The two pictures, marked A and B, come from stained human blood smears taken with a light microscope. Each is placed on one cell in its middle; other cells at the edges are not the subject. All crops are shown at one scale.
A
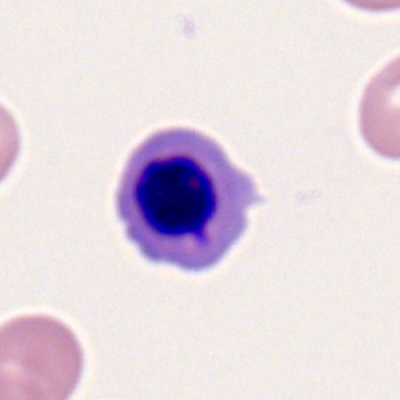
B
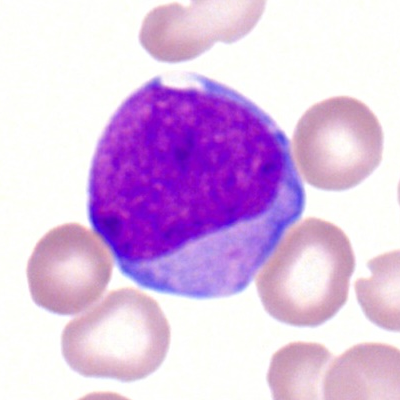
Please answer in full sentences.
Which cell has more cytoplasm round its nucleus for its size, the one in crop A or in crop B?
Of the two, the nucleus in crop A leaves more room for cytoplasm.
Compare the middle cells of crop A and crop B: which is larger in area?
The cell in crop B is larger, with about 2.5 times the area of the one in crop A.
